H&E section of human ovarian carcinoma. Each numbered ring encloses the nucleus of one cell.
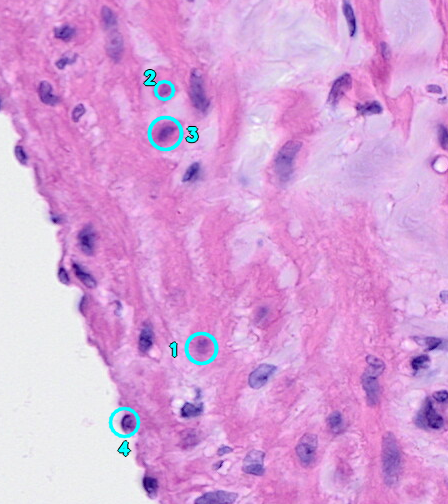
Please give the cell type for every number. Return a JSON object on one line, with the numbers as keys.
{"1": "smooth muscle cell", "2": "smooth muscle cell", "3": "smooth muscle cell", "4": "endothelial cell"}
